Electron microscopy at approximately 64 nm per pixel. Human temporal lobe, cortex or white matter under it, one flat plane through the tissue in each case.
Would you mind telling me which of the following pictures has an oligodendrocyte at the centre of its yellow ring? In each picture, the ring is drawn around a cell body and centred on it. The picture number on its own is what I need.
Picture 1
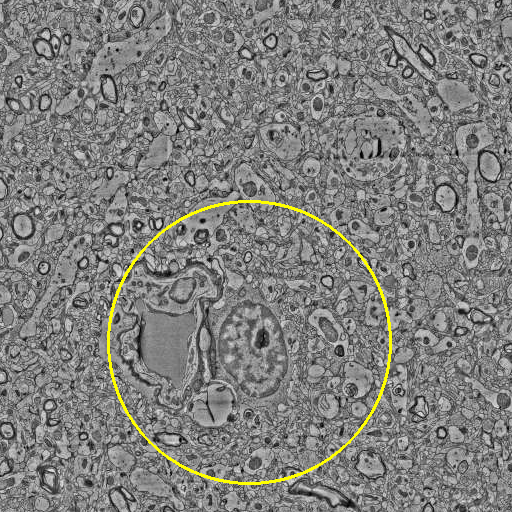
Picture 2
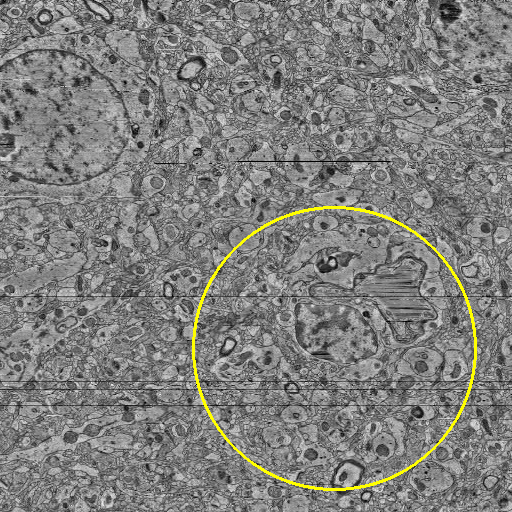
1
